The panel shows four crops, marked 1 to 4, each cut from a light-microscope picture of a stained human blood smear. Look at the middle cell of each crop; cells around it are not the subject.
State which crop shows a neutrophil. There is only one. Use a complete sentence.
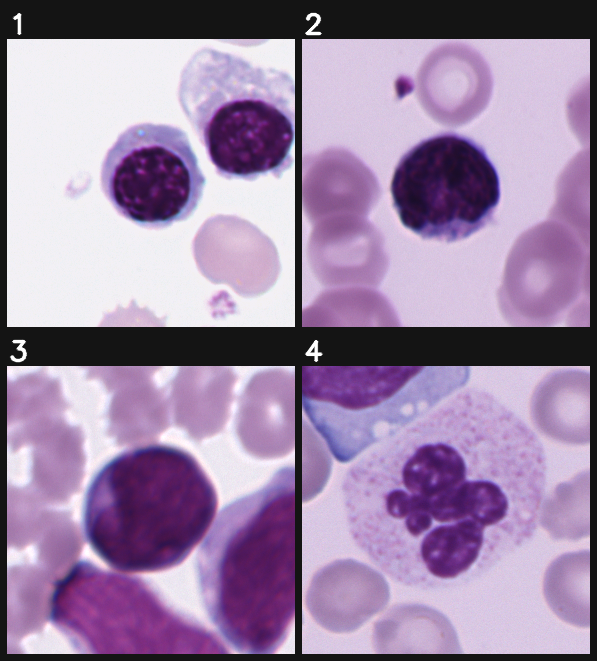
When the crops are compared, crop 4 is the one showing a neutrophil.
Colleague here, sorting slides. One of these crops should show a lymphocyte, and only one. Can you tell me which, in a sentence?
Look at crop 2; that is the one with a lymphocyte in its center.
